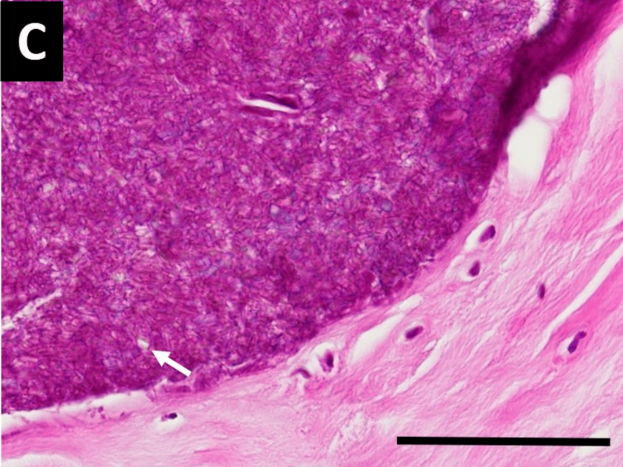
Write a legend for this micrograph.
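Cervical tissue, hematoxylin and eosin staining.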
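Here a large crystal deposit fills most of the field, bordered by pink fibrous tissue with a few cells. The deposit is dark purple and densely packed with tiny angular particles, giving it a finely grainy, mesh-like texture; at higher look some of the crystals have a rhomboid outline. Its edge is sharp and darker where it meets the tissue. In the lower right, the pink, fibrous tissue holds a few cells with dark nuclei sitting in small clear spaces, some rounded and some elongated, lying along the border of the deposit.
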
